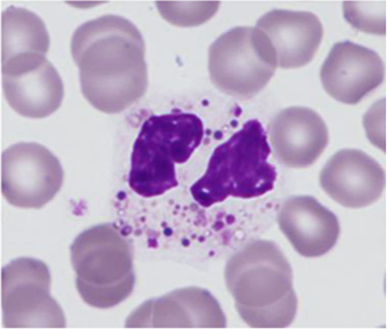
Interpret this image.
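This smear shows a large polymorphonuclear leukocyte among round red cells, several of which overlap at the edges. The nucleus is deep purple and split into two large separate lobes that lie side by side. The cell's cytoplasm is broad and pale, and it is studded with many discrete round granules. Some granules are small, while others are conspicuously large dark purple to pink dots, especially along the lower edge of the cell. These coarse inclusions are much bigger than the fine granules normally seen in such cells.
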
